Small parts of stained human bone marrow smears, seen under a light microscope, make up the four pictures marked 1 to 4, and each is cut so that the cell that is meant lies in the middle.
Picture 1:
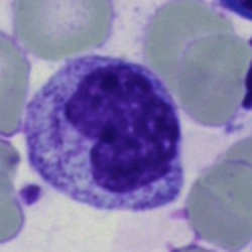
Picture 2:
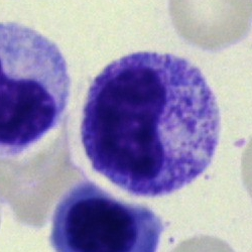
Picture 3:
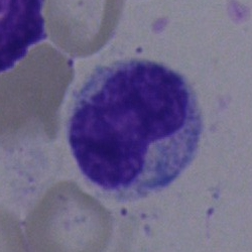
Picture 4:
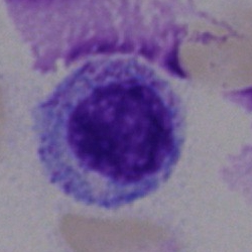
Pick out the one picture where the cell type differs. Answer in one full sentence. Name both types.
Picture 4 differs, because its cell is a myelocyte and the rest are metamyelocytes.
